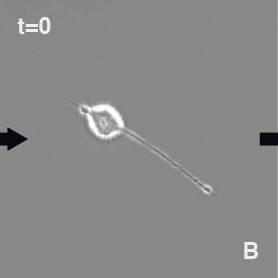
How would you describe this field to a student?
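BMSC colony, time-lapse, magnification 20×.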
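The cell body has pulled in to form a compact, bright, almost spherical body surrounded by a light halo, quite unlike the flat, spread outline of an adherent cell. The background is an even grey culture surface with no other cells nearby.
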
